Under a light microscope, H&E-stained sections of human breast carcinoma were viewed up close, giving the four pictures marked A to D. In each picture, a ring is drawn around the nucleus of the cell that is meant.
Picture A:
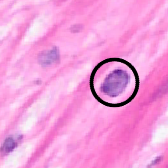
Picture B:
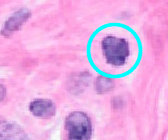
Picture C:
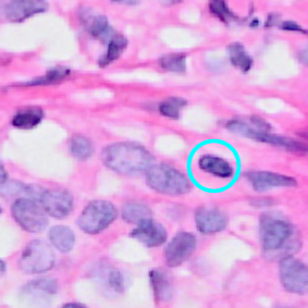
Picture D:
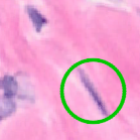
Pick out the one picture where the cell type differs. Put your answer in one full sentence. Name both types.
The different one is picture D; it shows a fibroblast, whereas all the others show lymphocytes.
